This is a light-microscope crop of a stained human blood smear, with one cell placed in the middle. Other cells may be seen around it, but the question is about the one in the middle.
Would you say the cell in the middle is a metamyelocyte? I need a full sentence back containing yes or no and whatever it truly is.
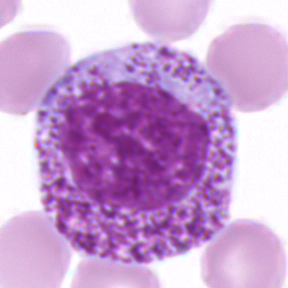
No, the central cell is classed as a myelocyte, not a metamyelocyte.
